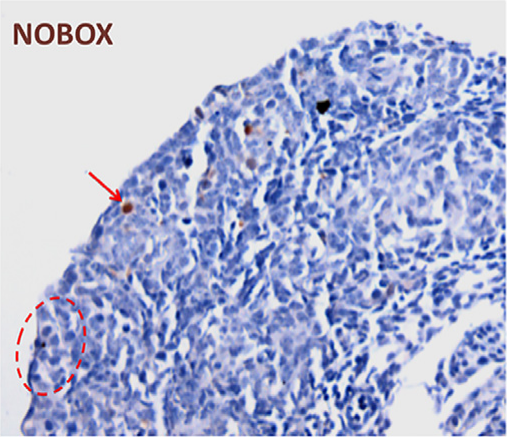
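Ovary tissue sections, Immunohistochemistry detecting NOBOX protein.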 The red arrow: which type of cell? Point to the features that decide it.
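Oocytes. The red arrow points to a cell with a round nucleus stained brown. The cell lies near the edge of the tissue section.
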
